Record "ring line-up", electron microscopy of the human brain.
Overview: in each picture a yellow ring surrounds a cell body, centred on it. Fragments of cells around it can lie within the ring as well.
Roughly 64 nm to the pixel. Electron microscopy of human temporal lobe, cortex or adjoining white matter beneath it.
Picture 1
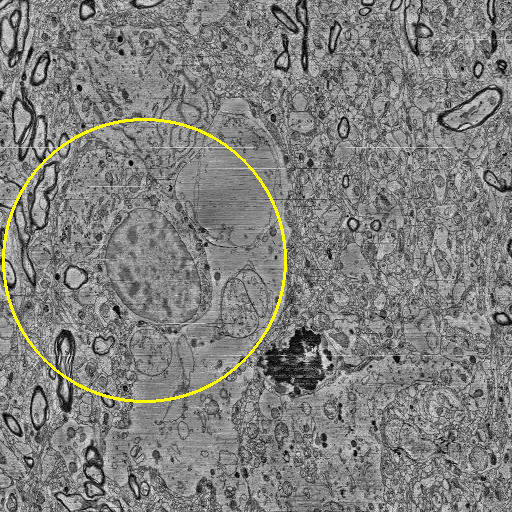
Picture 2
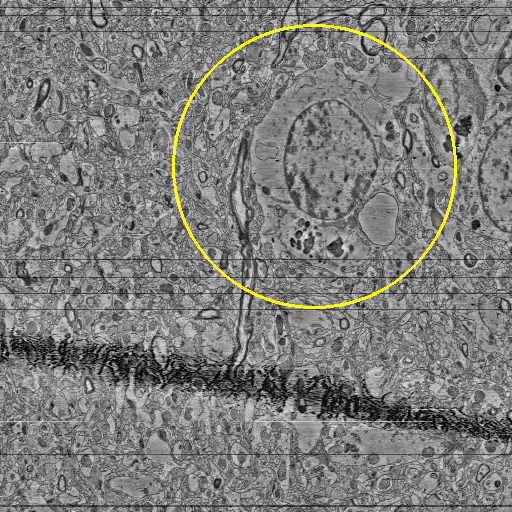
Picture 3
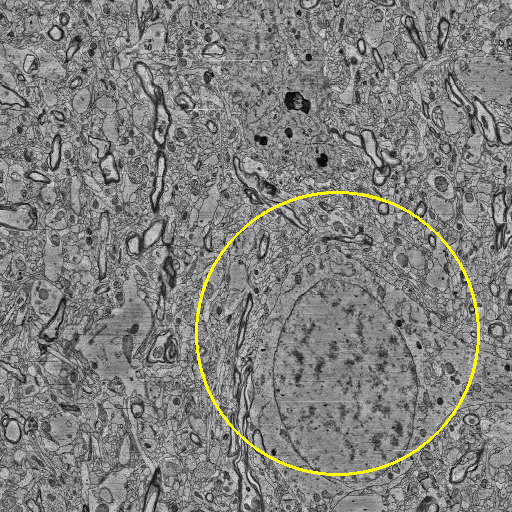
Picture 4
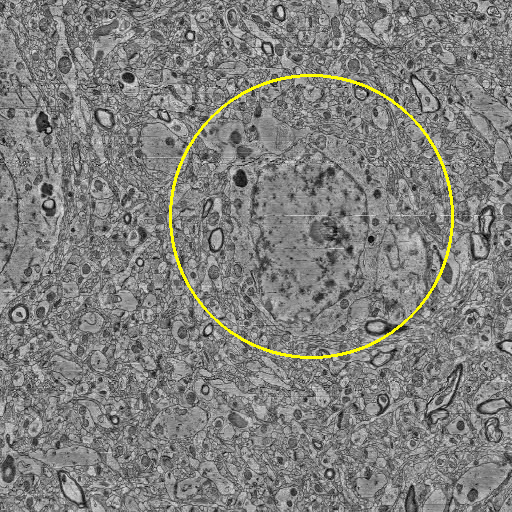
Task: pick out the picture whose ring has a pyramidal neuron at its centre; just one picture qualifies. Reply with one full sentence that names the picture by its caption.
Going by the cell at the ring's centre, the right choice is Picture 3.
